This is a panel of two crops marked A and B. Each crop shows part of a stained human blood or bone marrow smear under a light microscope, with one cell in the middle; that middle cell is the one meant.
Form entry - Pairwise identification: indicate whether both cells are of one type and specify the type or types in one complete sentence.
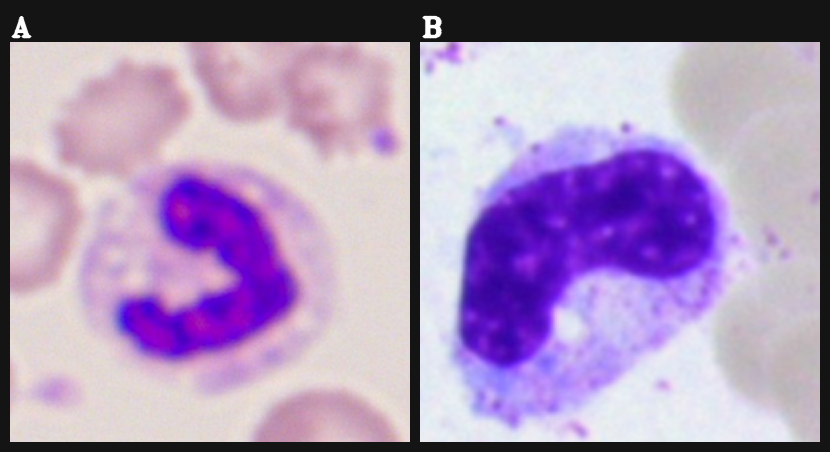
Yes, the cells at the centre of the two crops are both band neutrophils.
